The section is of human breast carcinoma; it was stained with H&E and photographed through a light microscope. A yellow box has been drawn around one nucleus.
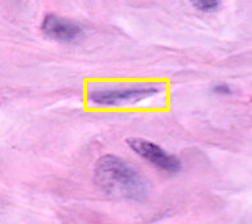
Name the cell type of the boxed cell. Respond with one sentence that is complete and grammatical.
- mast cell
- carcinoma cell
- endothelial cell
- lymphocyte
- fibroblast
The classification of the boxed cell is as a fibroblast.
